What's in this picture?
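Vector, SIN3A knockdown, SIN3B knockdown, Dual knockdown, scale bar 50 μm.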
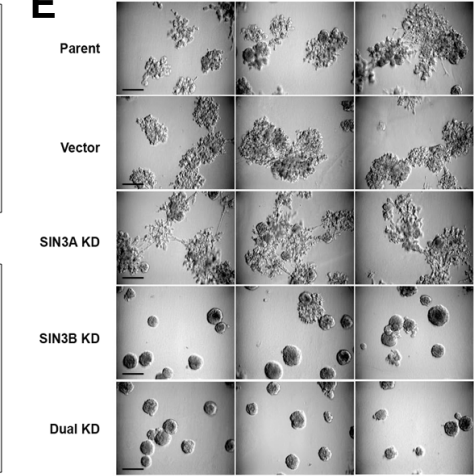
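In the upper three rows the colonies are large and irregular, made of loosely packed, rounded cells. Single cells and short chains stick out from many colony edges, so the outlines are ragged and spiky. In the lower two rows most colonies are smaller, compact and nearly spherical, with smooth, sharp borders. Individual cells are hard to pick out inside these rounded spheroids. The rounded colonies lie apart from one another, with few cells between them.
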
